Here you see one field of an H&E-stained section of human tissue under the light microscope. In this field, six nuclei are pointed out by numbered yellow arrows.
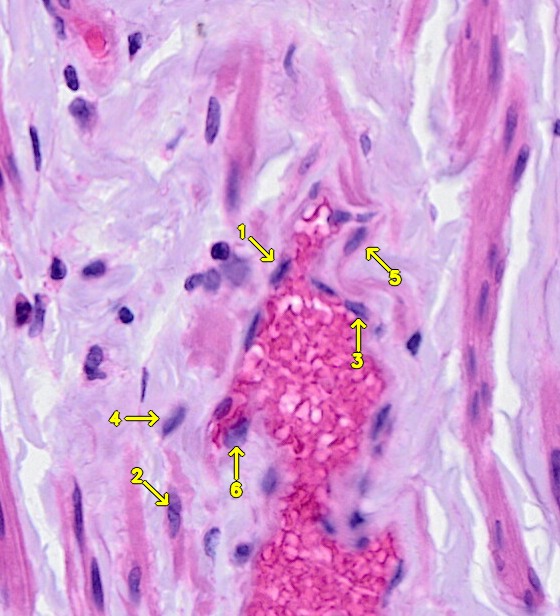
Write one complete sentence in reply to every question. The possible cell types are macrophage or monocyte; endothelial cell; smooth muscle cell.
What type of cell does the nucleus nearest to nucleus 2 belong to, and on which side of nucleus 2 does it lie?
A macrophage or monocyte lies closest, below and to the right of nucleus 2.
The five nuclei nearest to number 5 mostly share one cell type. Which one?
Most of the five nuclei nearest to number 5 are those of endothelial cells.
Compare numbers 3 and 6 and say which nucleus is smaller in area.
It is nucleus 3; nucleus 6 has about 2 times its area.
